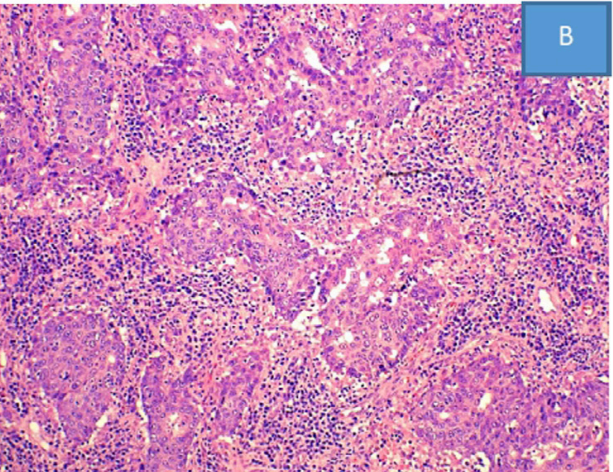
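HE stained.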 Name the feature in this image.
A: Irregular nests.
